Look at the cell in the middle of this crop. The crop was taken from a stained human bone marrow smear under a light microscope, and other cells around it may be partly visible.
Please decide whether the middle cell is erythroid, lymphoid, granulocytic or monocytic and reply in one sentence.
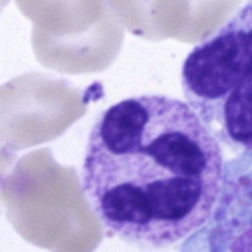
Regarding the central cell, its lineage is granulocytic.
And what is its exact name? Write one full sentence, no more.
At the crop's centre, the cell is a segmented neutrophil.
